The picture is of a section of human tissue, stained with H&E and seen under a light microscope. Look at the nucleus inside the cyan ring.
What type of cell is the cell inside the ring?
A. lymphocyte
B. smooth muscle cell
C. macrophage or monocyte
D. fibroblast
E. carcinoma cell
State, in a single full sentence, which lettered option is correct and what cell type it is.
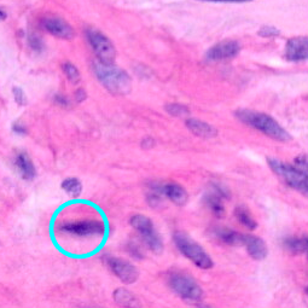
Under option B, the cell inside the ring is a smooth muscle cell, which is the correct identification.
